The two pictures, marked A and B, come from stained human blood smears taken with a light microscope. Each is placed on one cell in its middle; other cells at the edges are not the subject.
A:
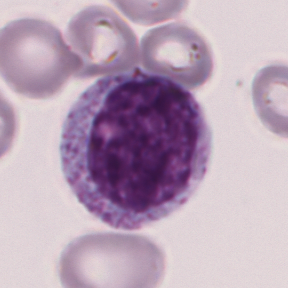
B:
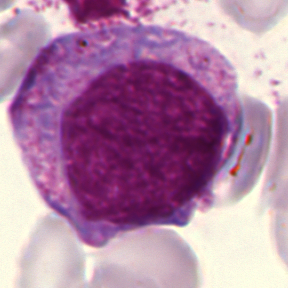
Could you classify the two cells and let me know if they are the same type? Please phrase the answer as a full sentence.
No, what crop A shows is a myelocyte, and what crop B shows is a promyelocyte.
